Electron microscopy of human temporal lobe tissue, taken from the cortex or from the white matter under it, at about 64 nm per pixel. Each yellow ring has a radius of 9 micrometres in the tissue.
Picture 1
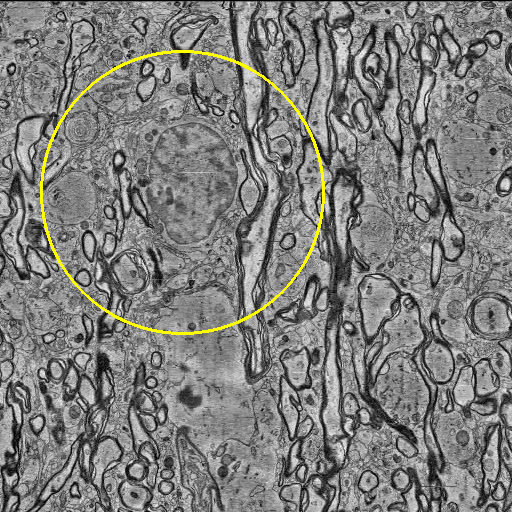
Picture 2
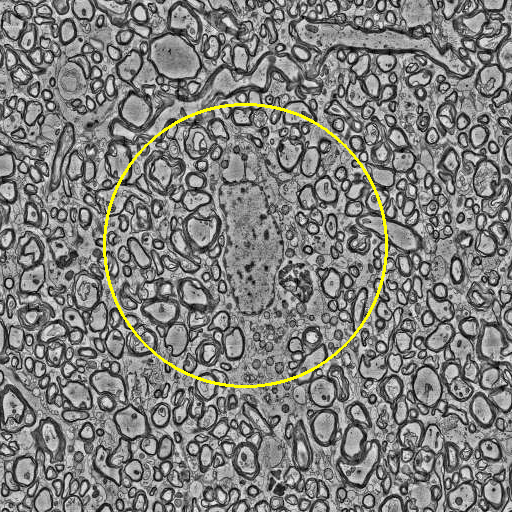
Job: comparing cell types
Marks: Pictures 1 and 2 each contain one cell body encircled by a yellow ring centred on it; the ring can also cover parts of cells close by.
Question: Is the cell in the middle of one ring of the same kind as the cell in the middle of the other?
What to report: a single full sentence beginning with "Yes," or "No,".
No, the cell at the ring centre in Picture 1 and its partner in Picture 2 are of two kinds.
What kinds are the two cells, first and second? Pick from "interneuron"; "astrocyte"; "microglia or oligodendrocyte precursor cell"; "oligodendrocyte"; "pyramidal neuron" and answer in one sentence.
The second picture holds an astrocyte in its ring, and the first holds an oligodendrocyte.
